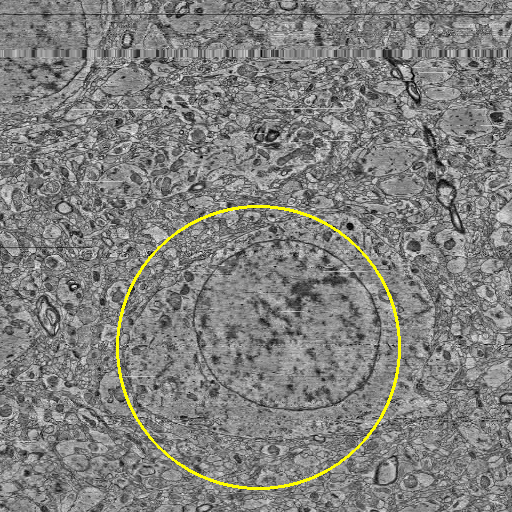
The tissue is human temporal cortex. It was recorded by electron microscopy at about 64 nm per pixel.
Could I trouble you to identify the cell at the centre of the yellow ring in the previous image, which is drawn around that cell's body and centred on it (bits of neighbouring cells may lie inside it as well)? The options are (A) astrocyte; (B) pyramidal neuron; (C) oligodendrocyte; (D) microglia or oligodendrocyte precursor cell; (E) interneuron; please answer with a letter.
B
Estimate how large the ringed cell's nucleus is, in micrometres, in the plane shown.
The nucleus appears about 12 micrometres across in this plane.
